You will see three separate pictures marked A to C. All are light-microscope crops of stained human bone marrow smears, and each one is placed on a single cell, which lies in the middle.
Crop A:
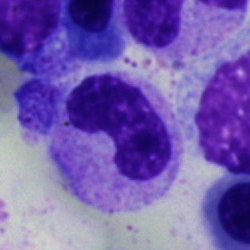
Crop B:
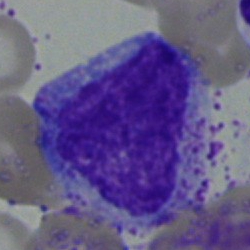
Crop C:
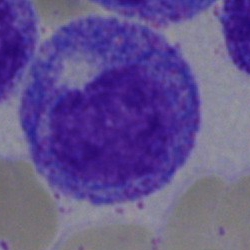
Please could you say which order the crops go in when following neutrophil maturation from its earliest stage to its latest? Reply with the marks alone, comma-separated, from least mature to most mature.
C, B, A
